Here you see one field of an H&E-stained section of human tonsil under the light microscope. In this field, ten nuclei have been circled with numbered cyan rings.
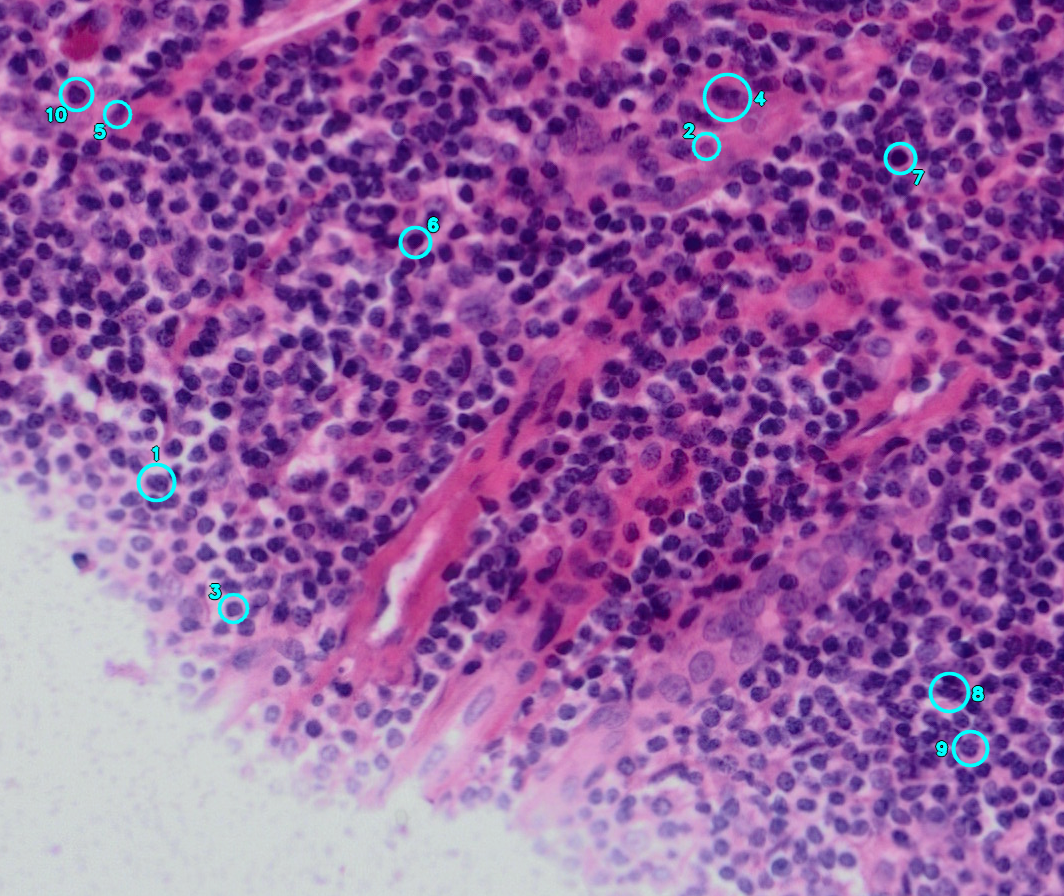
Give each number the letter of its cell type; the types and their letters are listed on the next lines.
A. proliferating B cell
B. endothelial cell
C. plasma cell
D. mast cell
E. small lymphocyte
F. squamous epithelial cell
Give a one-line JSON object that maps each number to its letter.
{"1": "E", "2": "B", "3": "E", "4": "B", "5": "B", "6": "E", "7": "E", "8": "E", "9": "E", "10": "C"}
